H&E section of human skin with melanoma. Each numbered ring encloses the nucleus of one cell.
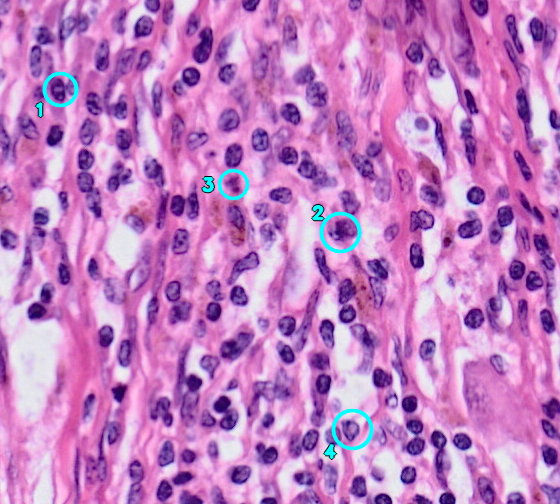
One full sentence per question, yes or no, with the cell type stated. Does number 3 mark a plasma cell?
No, cell 3 should be read as a macrophage or monocyte instead of a plasma cell.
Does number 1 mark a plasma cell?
Yes, the cell marked by the number 1 is a plasma cell.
